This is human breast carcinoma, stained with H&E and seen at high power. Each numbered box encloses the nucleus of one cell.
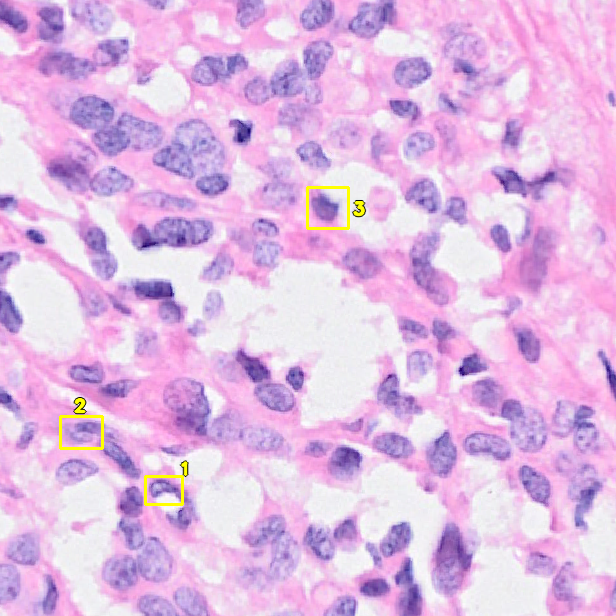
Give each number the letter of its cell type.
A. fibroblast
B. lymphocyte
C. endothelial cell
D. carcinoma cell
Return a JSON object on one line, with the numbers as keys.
{"1": "C", "2": "C", "3": "D"}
